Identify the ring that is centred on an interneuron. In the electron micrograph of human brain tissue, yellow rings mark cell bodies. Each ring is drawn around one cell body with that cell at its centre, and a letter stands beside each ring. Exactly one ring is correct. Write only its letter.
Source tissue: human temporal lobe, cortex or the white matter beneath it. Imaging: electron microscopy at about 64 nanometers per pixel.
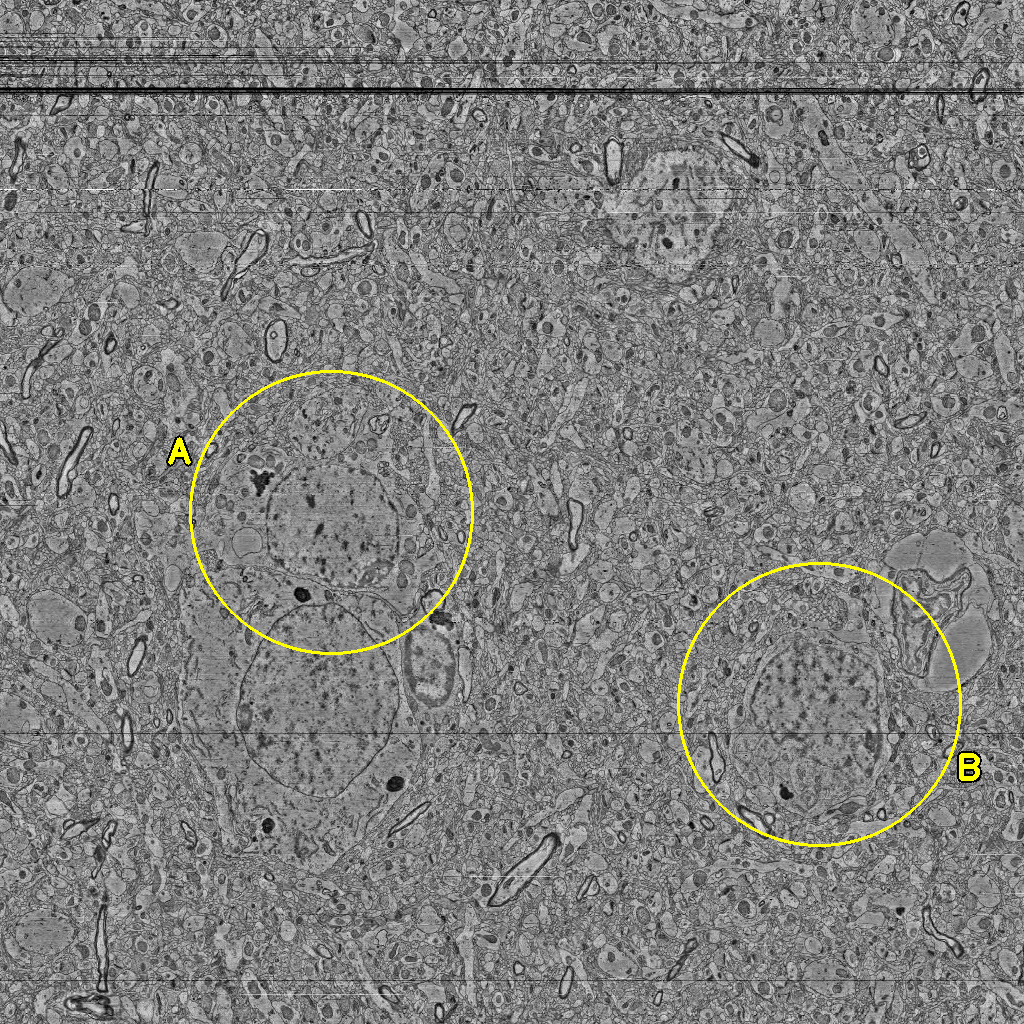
B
